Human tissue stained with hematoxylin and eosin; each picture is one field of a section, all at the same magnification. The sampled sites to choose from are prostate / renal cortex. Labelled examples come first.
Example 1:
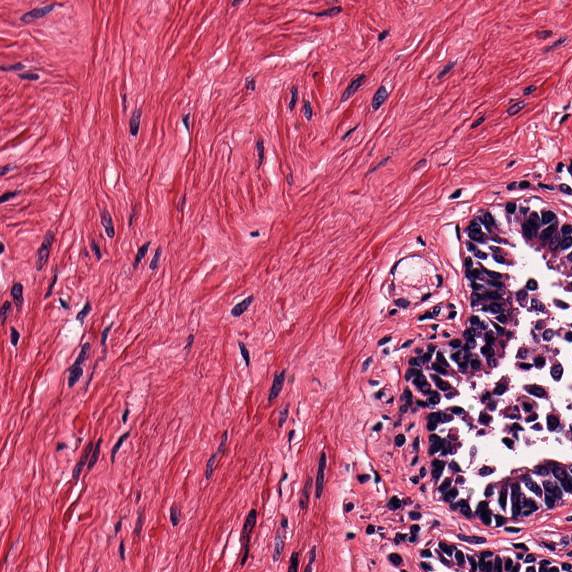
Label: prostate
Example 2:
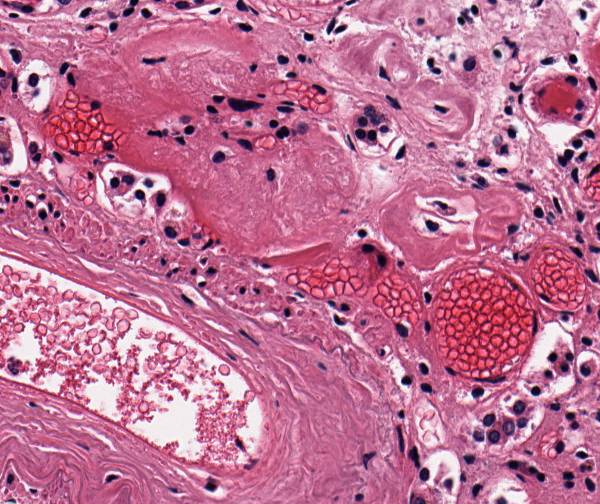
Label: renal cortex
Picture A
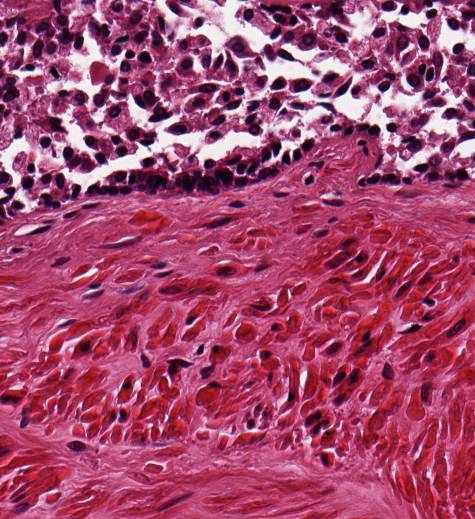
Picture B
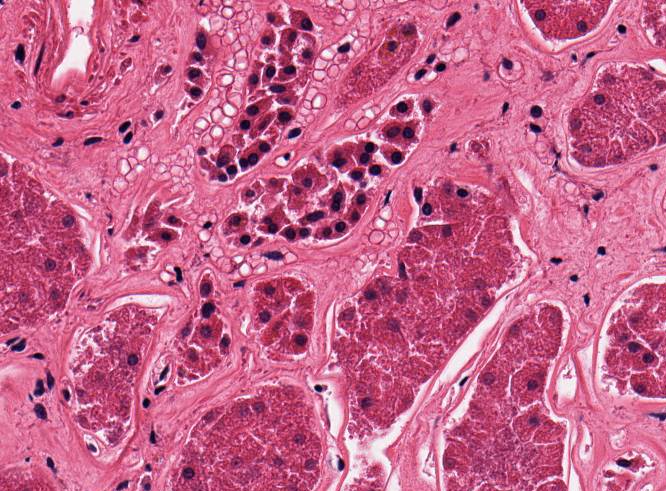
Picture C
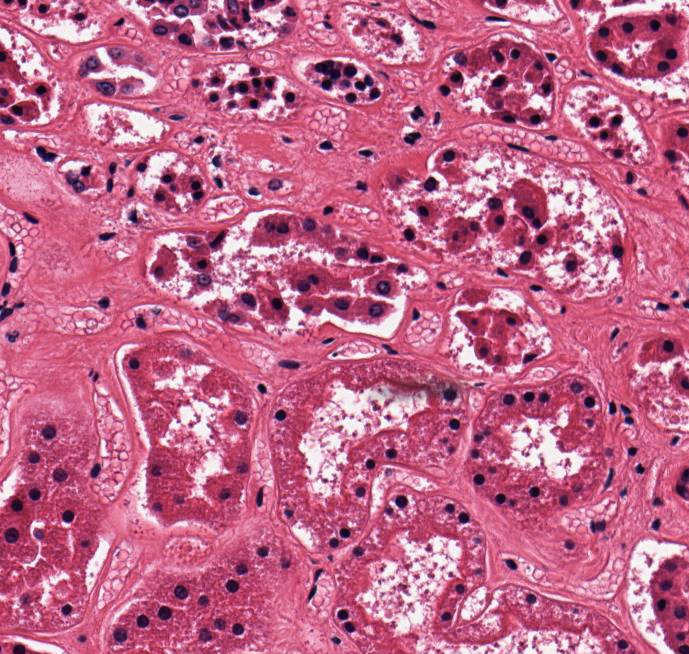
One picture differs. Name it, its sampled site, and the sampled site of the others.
Picture A: prostate. All others: renal cortex.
